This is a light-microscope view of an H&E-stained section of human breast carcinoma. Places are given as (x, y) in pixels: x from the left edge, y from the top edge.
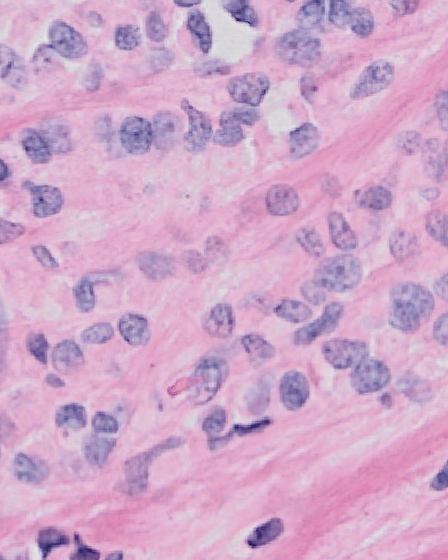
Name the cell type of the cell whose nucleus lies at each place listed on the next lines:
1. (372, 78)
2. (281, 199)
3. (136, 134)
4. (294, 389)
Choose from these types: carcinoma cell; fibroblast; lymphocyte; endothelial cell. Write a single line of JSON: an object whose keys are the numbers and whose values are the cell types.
{"1": "fibroblast", "2": "carcinoma cell", "3": "carcinoma cell", "4": "carcinoma cell"}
